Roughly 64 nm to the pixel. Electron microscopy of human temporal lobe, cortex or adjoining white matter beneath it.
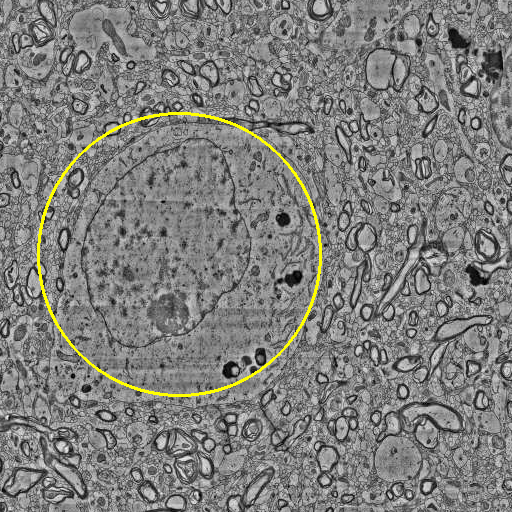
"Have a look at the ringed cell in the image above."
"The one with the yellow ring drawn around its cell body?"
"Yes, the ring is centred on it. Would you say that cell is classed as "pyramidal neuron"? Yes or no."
yes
